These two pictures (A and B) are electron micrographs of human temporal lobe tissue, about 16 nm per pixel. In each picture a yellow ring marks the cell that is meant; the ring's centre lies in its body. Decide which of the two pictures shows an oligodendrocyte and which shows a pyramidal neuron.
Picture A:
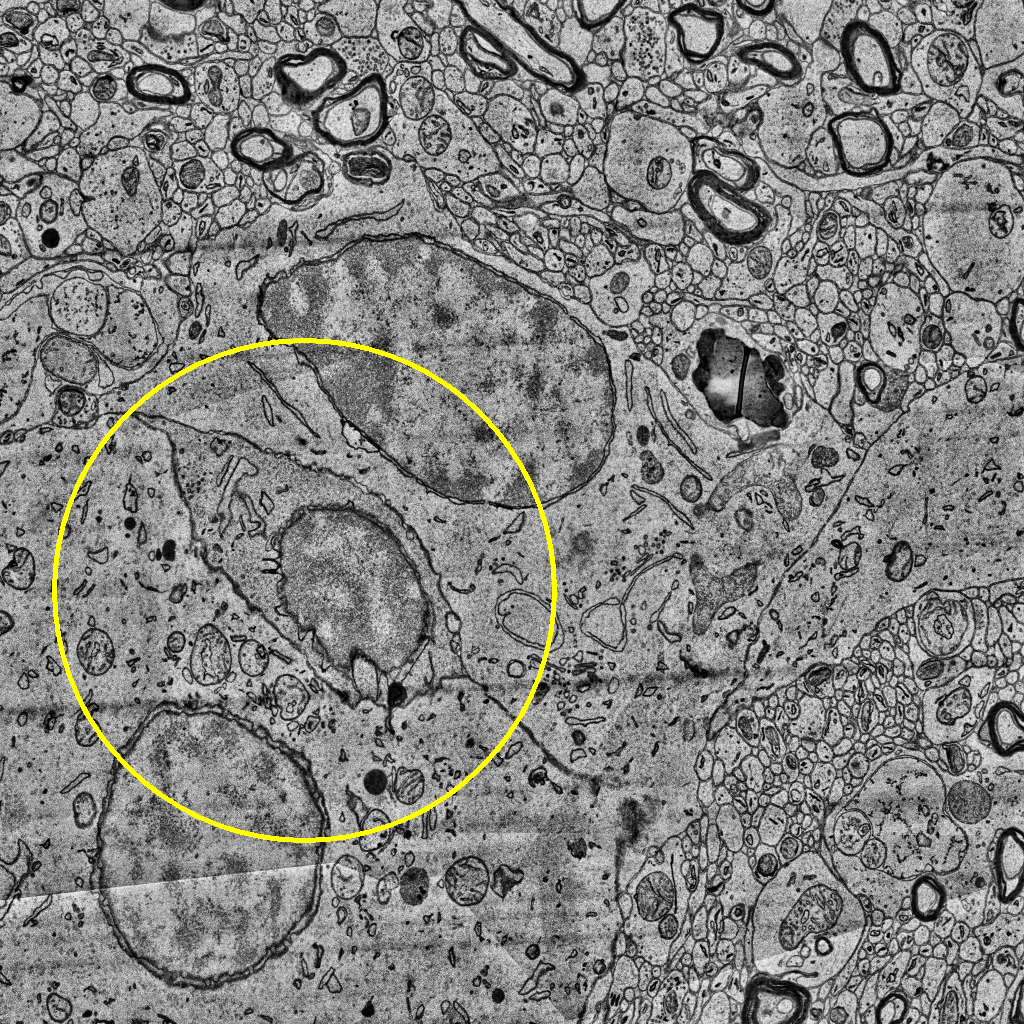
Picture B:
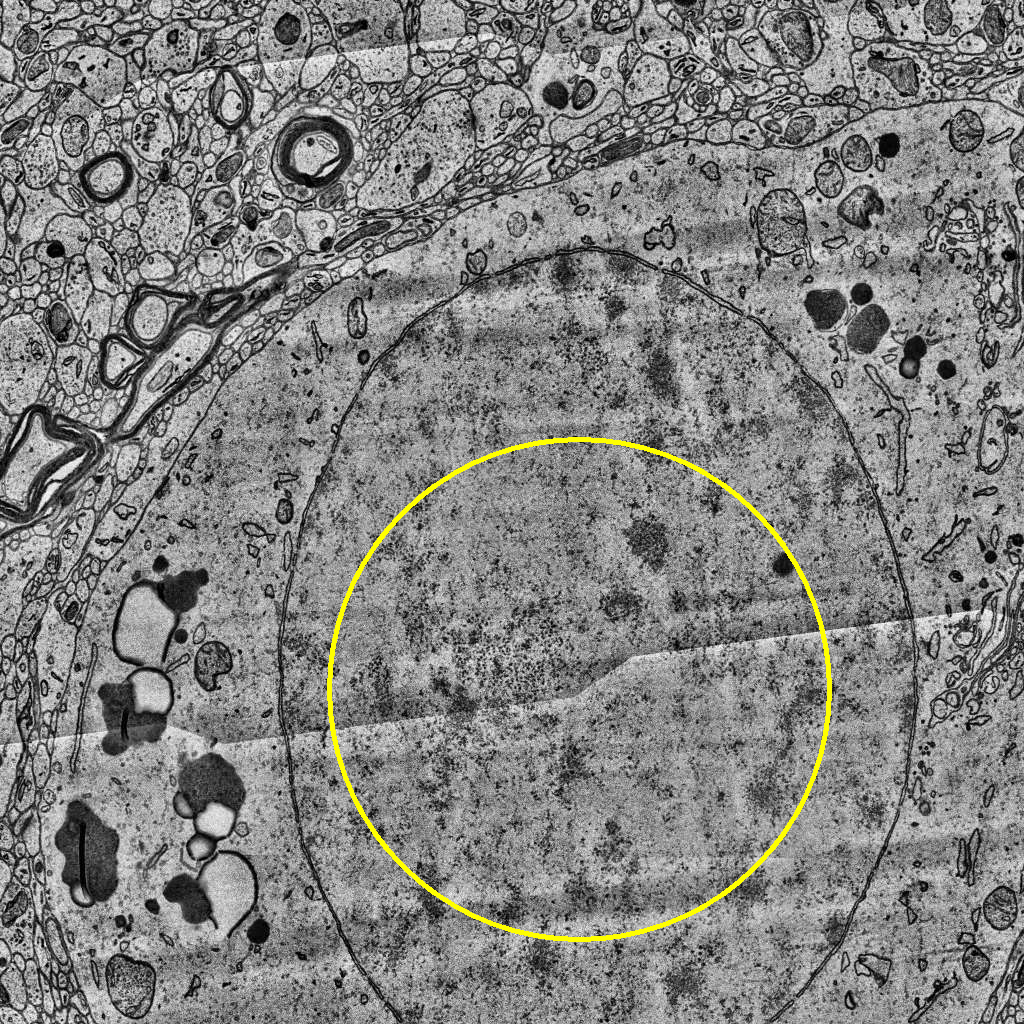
In picture A the cell is an oligodendrocyte; in picture B, a pyramidal neuron.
